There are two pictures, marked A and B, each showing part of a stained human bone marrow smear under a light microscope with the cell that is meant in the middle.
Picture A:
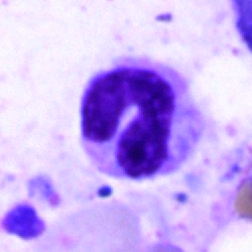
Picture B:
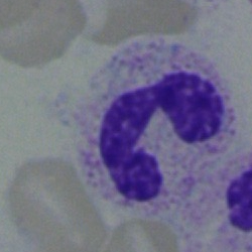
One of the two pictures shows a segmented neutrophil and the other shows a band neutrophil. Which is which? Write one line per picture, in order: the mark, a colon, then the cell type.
A: band neutrophil
B: segmented neutrophil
